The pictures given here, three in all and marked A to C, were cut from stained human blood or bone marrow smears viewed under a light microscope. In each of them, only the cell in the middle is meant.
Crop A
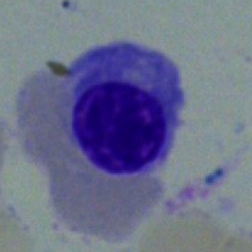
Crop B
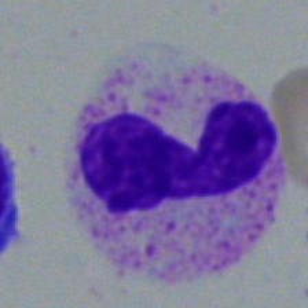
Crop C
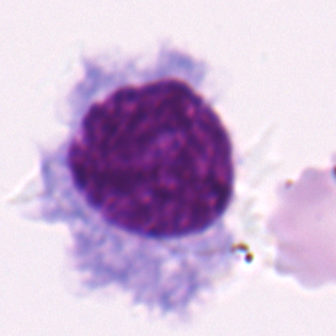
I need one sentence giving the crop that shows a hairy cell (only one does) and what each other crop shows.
Placed in the middle of crop C is a hairy cell, while crop A is a normoblast and crop B is a band neutrophil.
